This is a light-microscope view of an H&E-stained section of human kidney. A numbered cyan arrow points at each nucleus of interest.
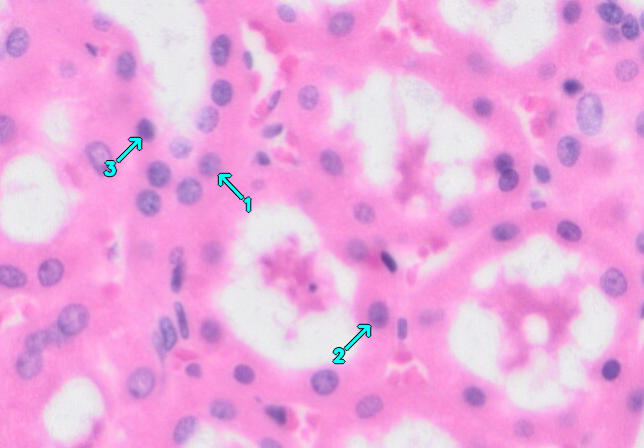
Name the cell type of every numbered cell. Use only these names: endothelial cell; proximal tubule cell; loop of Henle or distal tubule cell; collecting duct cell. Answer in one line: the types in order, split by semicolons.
loop of Henle or distal tubule cell; proximal tubule cell; loop of Henle or distal tubule cell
